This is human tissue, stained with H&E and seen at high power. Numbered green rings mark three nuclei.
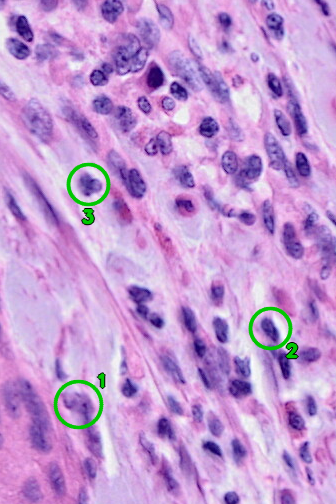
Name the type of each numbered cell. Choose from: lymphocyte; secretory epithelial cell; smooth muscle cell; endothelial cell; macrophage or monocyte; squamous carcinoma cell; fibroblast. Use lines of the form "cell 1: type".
cell 1: macrophage or monocyte
cell 2: lymphocyte
cell 3: lymphocyte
